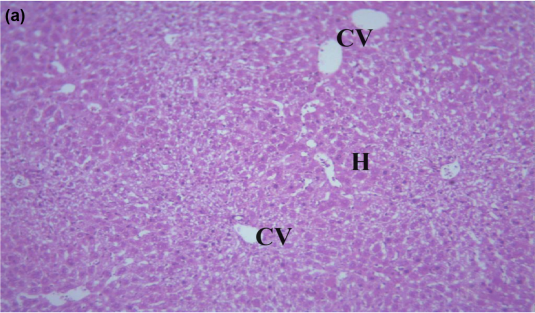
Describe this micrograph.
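This is liver parenchyma stained in pink and purple, made of hepatocytes arranged around a few central veins. The hepatocytes have pink cytoplasm and round, dark purple nuclei. They form cords separated by narrow, pale sinusoidal spaces. The central veins are small, clear, round-to-oval lumens with thin walls.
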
